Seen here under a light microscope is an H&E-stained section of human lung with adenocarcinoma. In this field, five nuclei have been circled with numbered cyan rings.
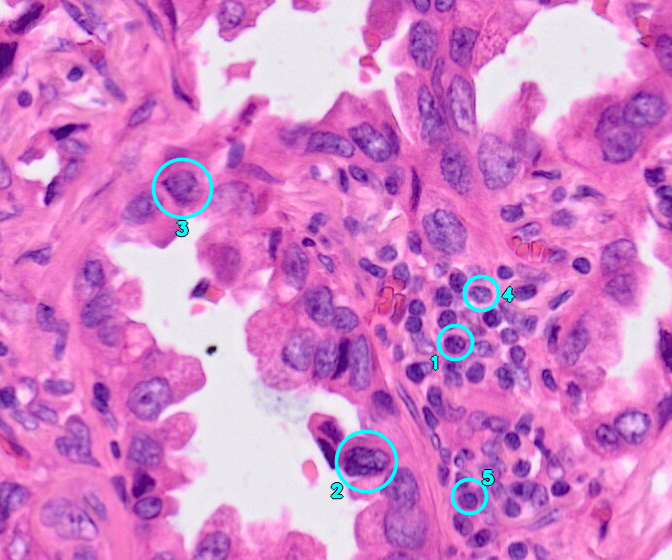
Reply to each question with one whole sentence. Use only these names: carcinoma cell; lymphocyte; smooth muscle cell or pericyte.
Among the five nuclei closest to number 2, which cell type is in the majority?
The majority of the five nuclei closest to number 2 belong to carcinoma cells.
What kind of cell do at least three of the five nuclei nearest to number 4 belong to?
Of the five nuclei nearest to number 4, most belong to lymphocytes.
